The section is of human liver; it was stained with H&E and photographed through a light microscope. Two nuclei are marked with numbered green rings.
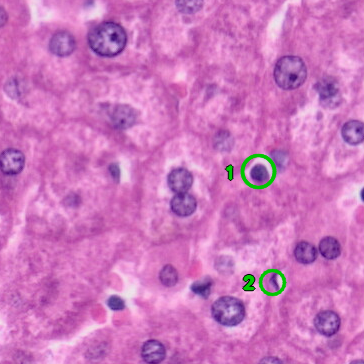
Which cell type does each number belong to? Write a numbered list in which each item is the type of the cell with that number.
1. lymphocyte
2. endothelial cell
